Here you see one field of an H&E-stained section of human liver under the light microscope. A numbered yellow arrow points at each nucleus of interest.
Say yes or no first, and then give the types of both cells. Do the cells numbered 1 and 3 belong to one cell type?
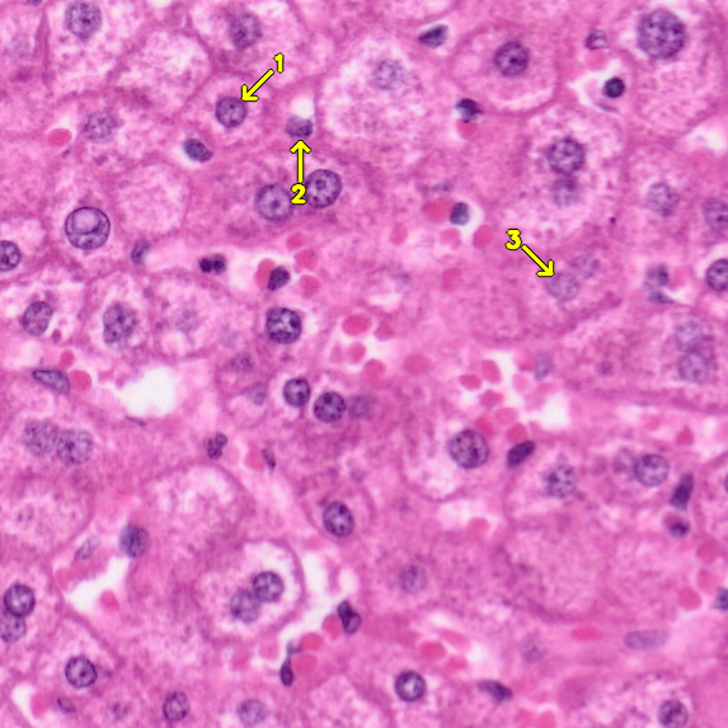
Yes, both are hepatocytes.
